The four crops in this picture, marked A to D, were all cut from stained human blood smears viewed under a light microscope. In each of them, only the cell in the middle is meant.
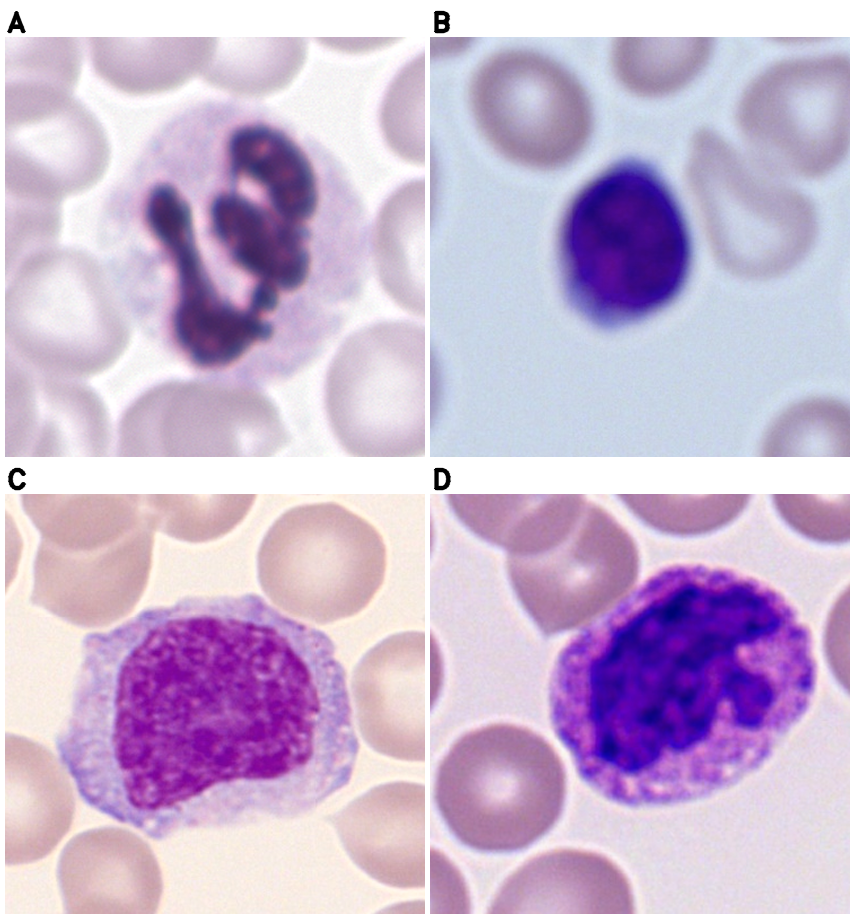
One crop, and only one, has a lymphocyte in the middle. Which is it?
B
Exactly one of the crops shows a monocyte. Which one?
C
